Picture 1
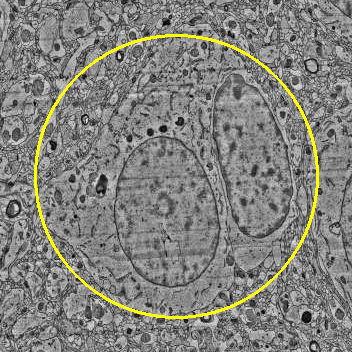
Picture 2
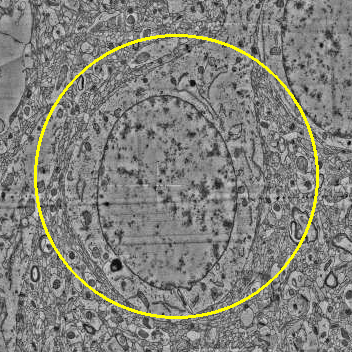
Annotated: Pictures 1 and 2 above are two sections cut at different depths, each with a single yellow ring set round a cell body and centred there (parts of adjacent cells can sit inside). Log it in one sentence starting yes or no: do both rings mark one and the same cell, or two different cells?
No, each yellow ring marks its own cell.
